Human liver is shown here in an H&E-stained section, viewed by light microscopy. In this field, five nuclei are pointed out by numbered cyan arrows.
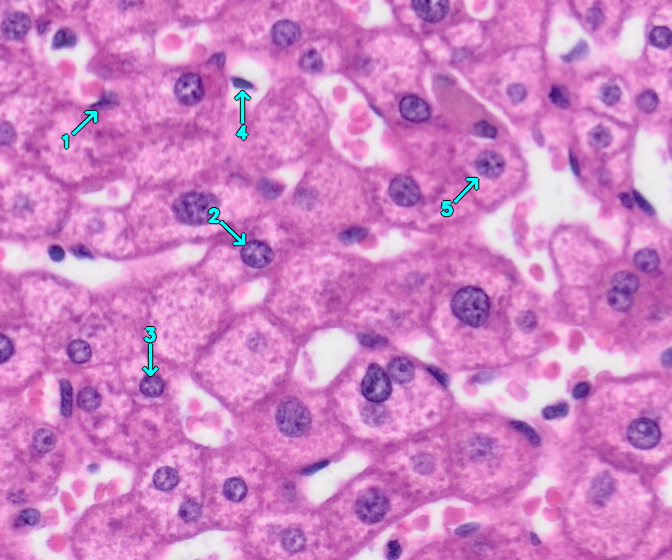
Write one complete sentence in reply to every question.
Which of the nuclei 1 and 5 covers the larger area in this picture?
The larger nucleus is 5, at roughly 2.5 times the area of 1.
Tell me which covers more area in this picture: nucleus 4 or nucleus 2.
At about 2.5 times the area of nucleus 4, nucleus 2 is the larger of the two.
